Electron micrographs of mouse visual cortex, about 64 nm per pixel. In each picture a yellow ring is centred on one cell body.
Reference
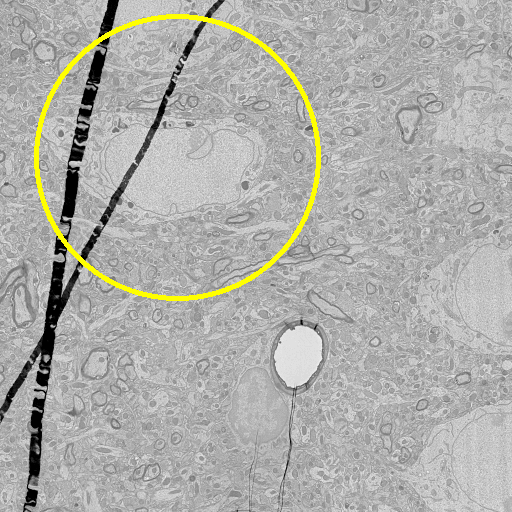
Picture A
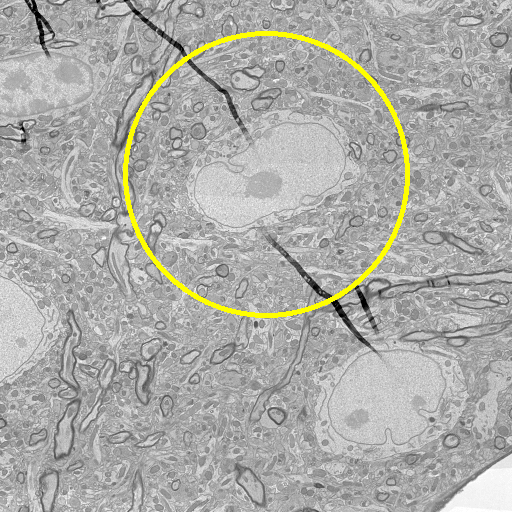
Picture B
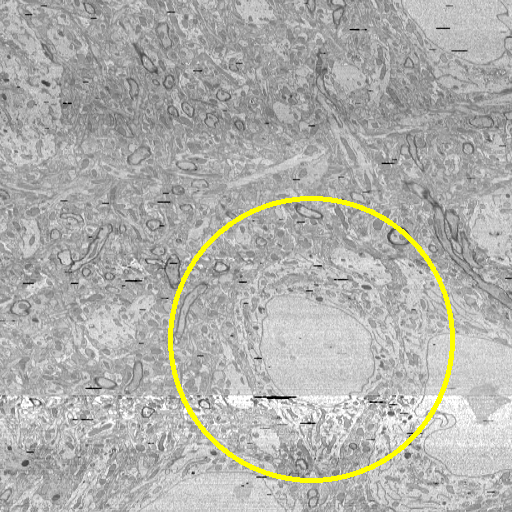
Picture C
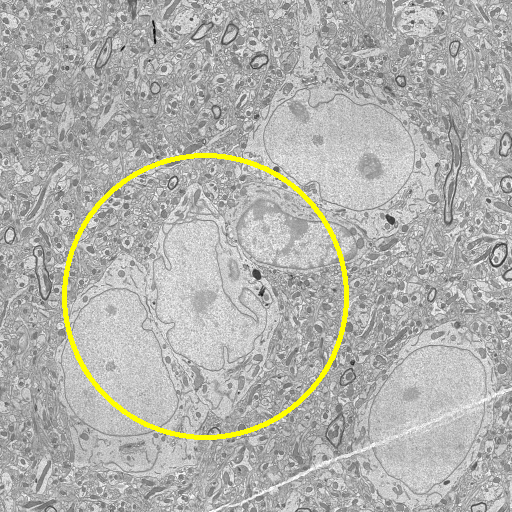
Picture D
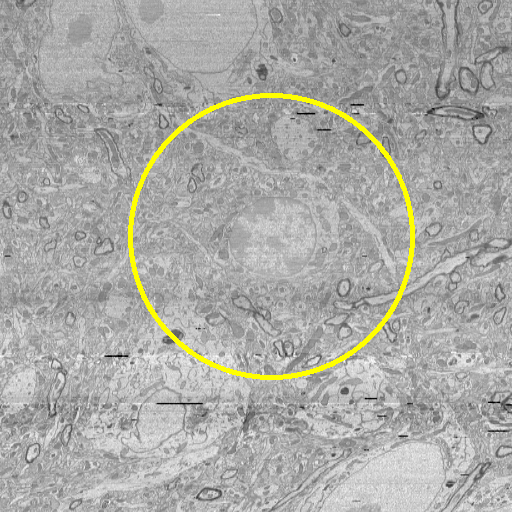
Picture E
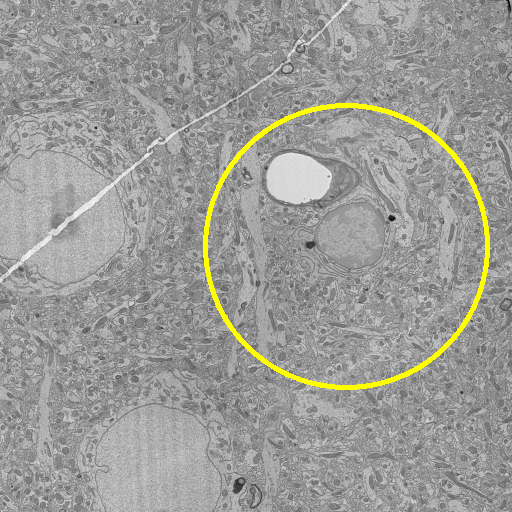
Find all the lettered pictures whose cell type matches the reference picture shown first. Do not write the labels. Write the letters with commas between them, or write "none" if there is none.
B, C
